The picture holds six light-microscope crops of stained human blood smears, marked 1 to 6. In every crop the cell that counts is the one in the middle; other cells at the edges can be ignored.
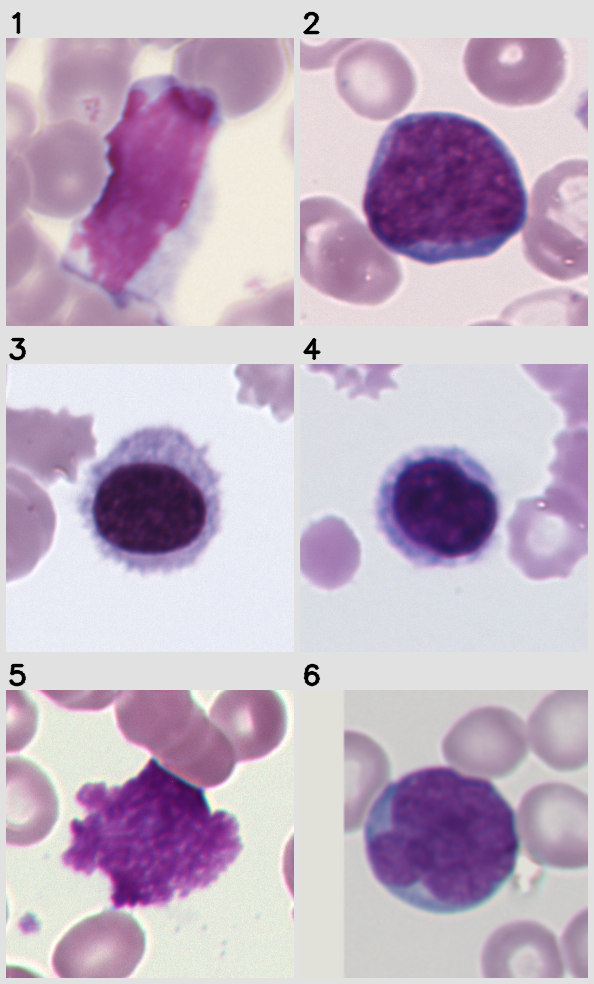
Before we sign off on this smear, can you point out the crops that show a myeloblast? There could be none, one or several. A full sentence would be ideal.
The crops identified as showing myeloblasts are 2 and 6.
